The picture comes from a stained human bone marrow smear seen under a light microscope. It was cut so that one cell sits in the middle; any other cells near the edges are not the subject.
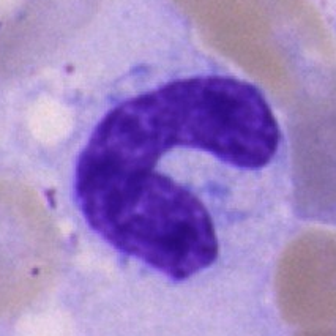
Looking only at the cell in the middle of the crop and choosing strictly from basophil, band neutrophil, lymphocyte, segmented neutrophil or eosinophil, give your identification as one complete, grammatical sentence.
At the middle of the frame sits a band neutrophil.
